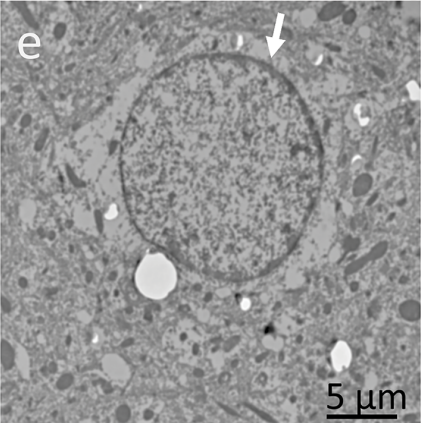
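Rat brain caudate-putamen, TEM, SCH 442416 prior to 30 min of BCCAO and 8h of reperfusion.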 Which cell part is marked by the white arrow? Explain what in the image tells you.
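The arrow points to a large round body with a distinct envelope. Its chromatin is dispersed and granular. On this evidence: cell nucleus.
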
